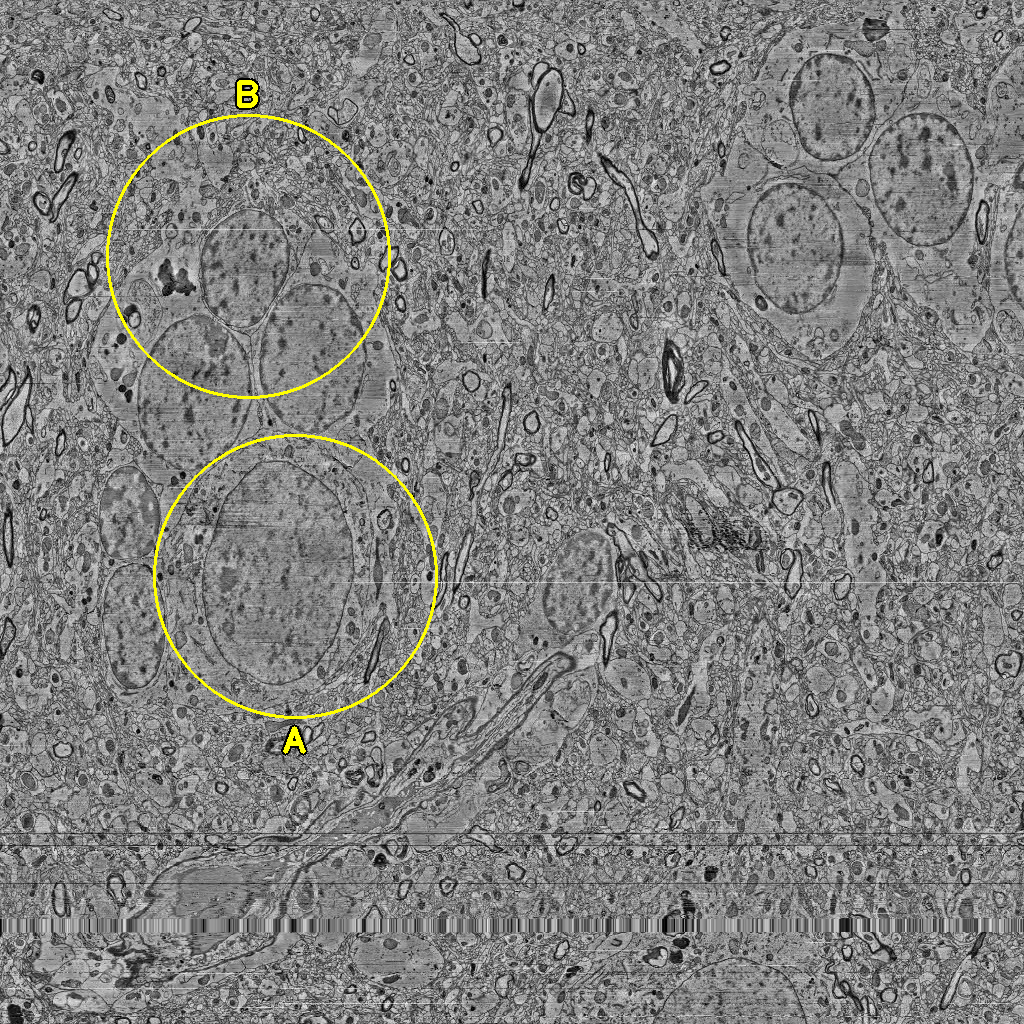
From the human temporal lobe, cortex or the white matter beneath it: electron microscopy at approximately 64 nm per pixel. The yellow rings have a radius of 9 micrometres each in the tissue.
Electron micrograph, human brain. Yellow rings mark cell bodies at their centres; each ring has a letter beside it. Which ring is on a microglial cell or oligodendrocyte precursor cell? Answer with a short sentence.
Ring B is centred on it.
